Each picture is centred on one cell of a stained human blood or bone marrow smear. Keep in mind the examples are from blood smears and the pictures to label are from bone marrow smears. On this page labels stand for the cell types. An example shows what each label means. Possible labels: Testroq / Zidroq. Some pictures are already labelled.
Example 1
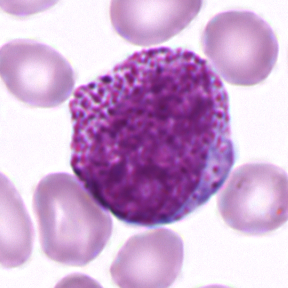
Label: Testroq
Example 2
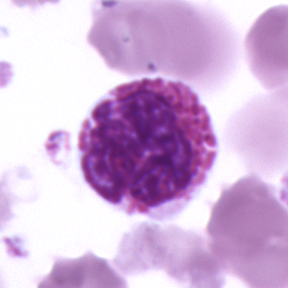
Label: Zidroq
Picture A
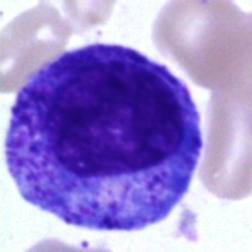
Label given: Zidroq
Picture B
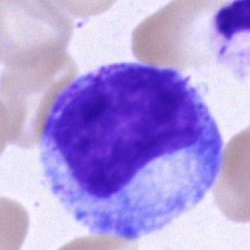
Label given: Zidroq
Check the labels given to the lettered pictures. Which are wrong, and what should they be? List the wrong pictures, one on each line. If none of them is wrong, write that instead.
Wrong: A (Zidroq); correct: Testroq
Wrong: B (Zidroq); correct: Testroq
